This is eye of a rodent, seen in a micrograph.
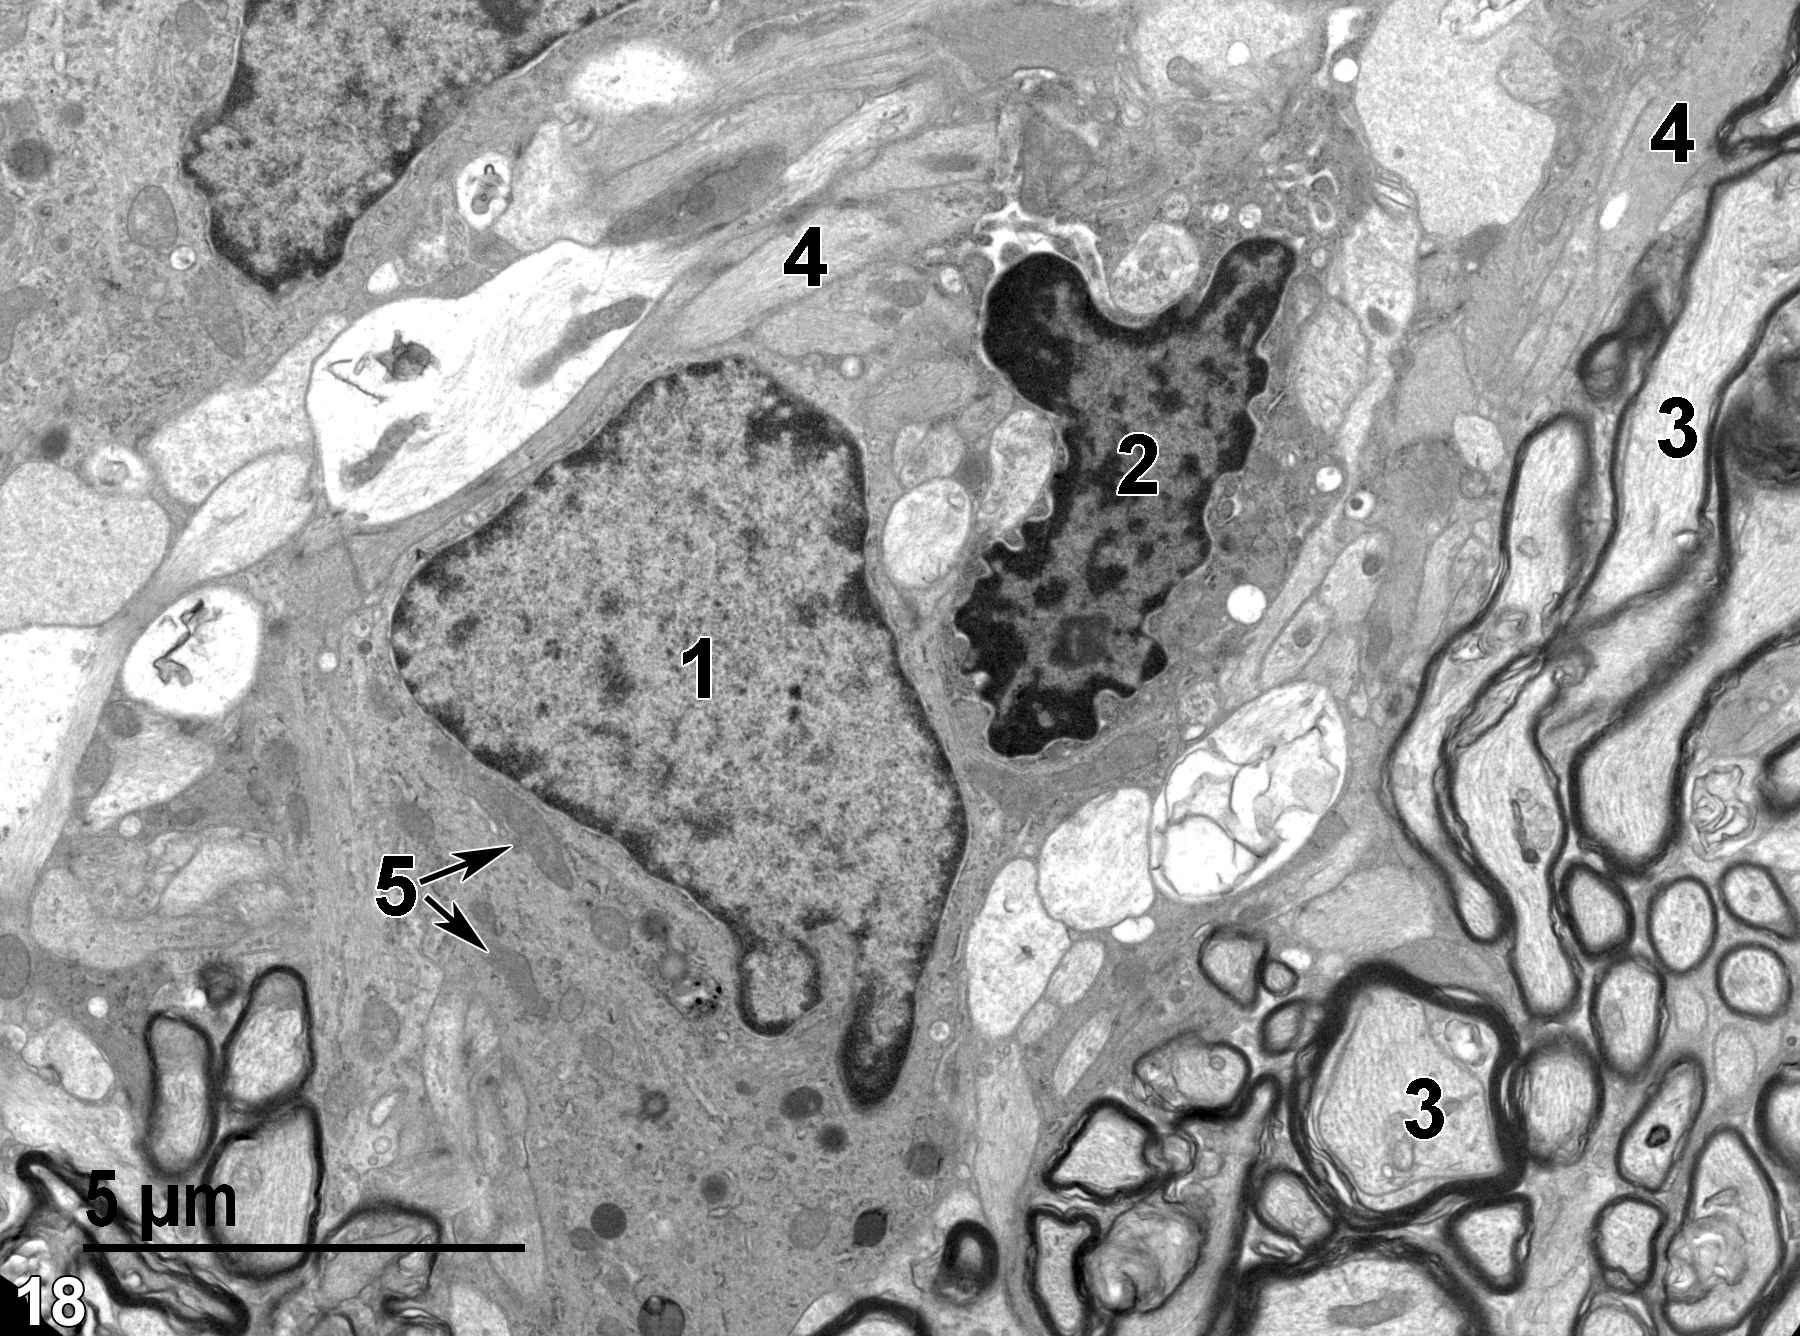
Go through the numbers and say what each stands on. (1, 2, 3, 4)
1: large nucleus
2: polymorphic nucleus
3: myelinated axons
4: unmyelinated neuronal processes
